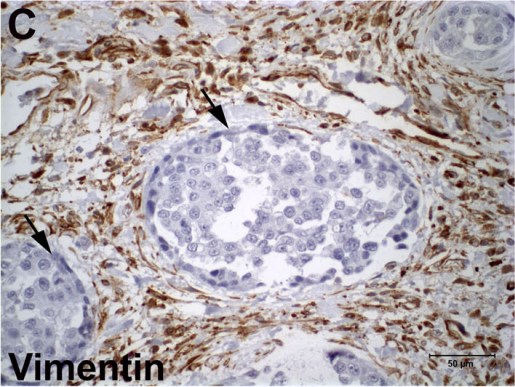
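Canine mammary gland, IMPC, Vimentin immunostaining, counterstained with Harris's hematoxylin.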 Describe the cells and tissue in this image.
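The tumor cells have round to oval blue nuclei and pale cytoplasm and take no brown stain, while they enclose small empty spaces. A thin pale rim of fibrous tissue surrounds the nest itself.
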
